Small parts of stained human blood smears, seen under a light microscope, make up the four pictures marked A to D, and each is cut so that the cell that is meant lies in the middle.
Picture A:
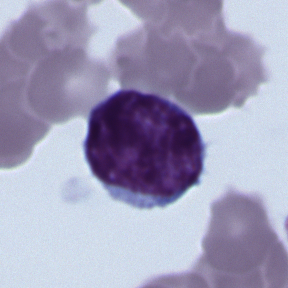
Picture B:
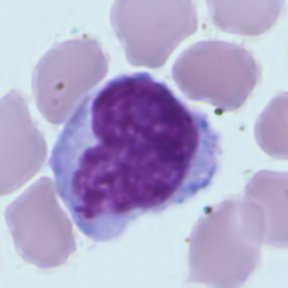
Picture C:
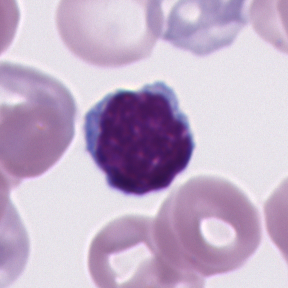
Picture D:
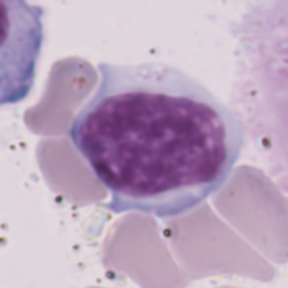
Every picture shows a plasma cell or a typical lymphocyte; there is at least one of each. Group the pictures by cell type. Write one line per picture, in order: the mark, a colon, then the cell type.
A: typical lymphocyte
B: plasma cell
C: typical lymphocyte
D: plasma cell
